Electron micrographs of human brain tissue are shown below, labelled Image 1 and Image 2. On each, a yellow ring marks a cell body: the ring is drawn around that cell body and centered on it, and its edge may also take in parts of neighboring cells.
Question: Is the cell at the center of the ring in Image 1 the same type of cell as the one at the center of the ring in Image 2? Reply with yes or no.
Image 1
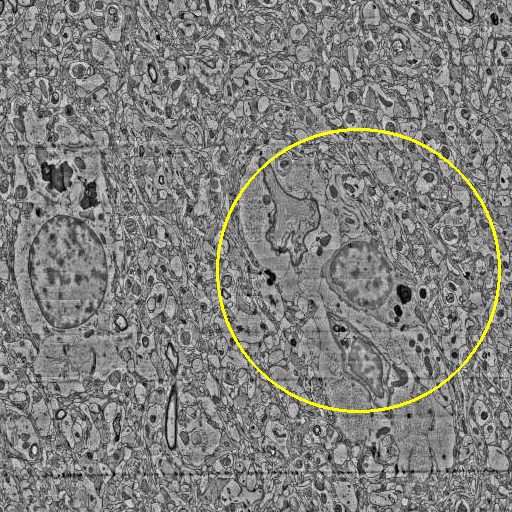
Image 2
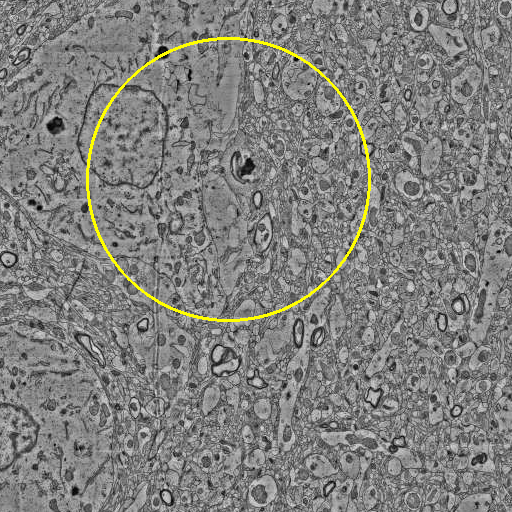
yes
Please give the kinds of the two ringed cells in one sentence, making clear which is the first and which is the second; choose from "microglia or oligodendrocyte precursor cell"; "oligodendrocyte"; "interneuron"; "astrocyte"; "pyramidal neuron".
The ring centre holds an oligodendrocyte in each of the two pictures.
